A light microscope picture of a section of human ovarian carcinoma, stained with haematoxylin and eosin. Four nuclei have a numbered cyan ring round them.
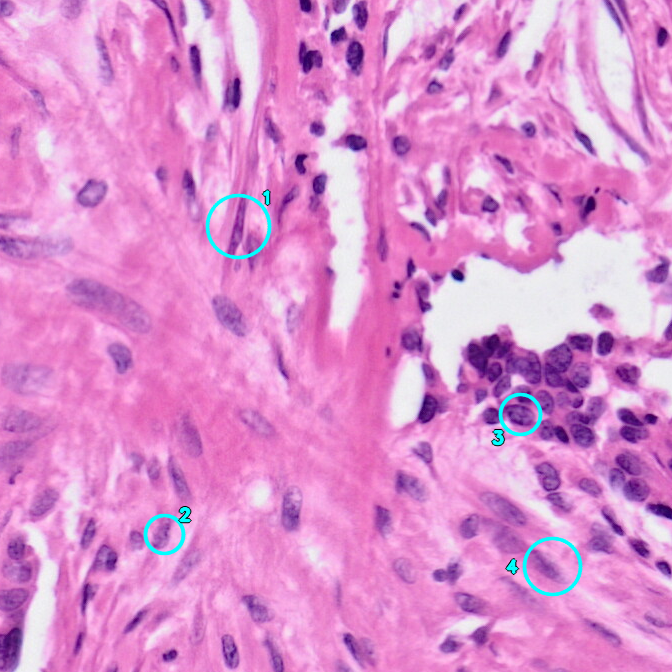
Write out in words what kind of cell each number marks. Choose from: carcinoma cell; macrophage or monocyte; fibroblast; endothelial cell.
Cells 1, 2 and 4 are fibroblasts. Cell 3 is a carcinoma cell.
